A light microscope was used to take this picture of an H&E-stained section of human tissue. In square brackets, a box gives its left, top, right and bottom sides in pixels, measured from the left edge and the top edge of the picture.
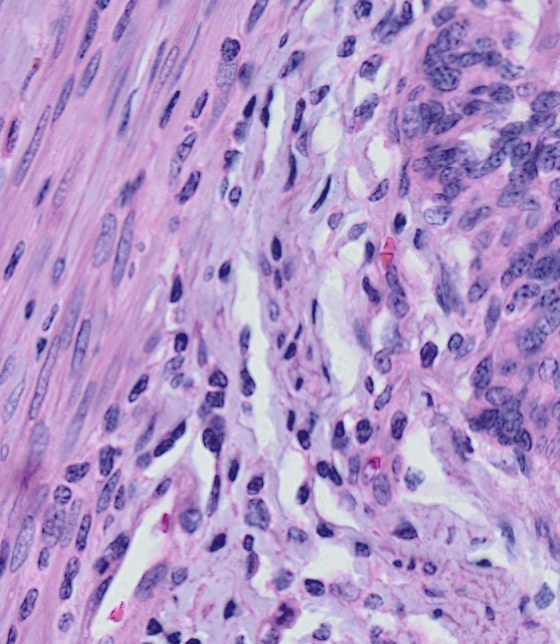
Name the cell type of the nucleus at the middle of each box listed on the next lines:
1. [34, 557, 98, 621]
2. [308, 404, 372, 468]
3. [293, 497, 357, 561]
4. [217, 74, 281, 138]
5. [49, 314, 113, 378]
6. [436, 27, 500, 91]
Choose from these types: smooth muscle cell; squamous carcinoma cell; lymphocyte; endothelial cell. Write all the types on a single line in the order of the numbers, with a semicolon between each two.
lymphocyte; lymphocyte; lymphocyte; lymphocyte; smooth muscle cell; squamous carcinoma cell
